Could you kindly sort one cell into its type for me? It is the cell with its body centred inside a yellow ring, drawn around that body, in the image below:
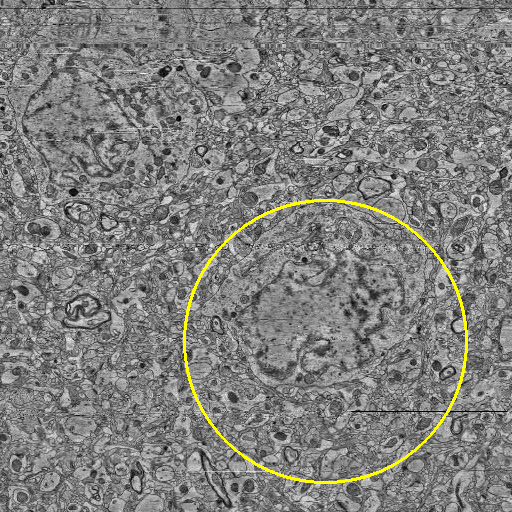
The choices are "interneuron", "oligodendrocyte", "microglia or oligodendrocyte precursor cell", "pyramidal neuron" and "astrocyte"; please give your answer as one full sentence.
The cell whose body lies centred in the yellow ring here is an interneuron.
